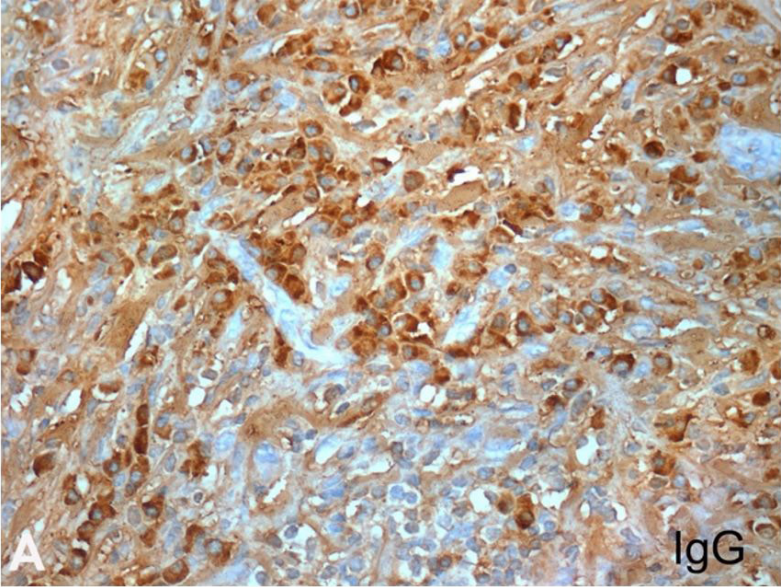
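A dense infiltrate of plasma cells fills this tissue section, many of them showing strong brown staining of their cytoplasm. The stained cells are round to oval, with a round, blue, off-centre nucleus pushed to one side and abundant brown cytoplasm. They lie crowded together across most of the field, between elongated strands of stroma. The background and spaces between cells also take up a paler, diffuse brown tint, while some smaller cells with blue nuclei and no brown cytoplasm lie among them. Small clear spaces are scattered throughout the section.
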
